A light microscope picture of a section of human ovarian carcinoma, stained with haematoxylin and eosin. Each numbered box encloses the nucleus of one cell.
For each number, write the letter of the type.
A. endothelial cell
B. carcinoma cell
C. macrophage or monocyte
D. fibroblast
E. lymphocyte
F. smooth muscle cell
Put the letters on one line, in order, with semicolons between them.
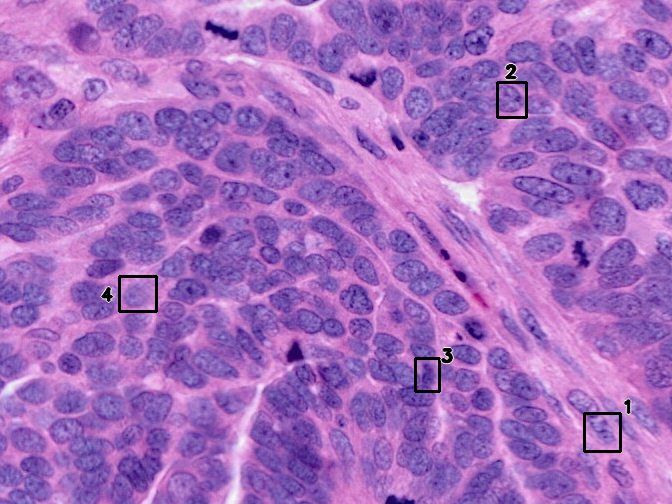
D; B; B; B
